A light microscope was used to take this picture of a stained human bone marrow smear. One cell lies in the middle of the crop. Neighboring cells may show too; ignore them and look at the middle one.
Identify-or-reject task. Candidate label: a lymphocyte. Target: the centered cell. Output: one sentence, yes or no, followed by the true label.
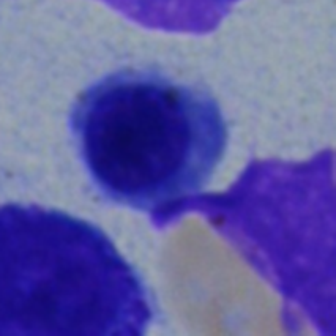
No, the cell at the centre of the crop corresponds to an erythroblast, not a lymphocyte.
